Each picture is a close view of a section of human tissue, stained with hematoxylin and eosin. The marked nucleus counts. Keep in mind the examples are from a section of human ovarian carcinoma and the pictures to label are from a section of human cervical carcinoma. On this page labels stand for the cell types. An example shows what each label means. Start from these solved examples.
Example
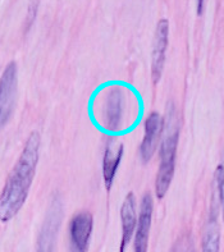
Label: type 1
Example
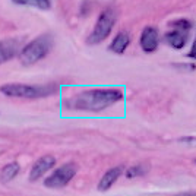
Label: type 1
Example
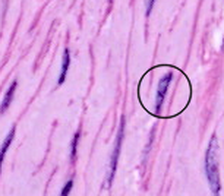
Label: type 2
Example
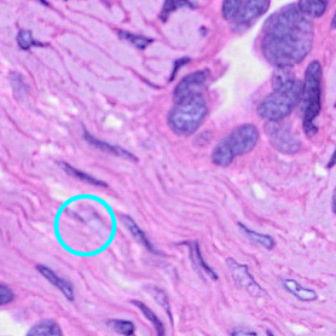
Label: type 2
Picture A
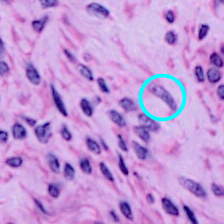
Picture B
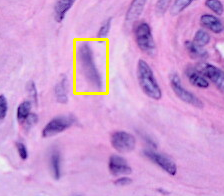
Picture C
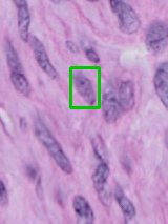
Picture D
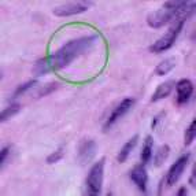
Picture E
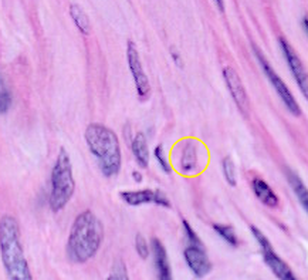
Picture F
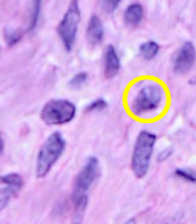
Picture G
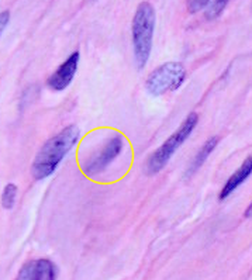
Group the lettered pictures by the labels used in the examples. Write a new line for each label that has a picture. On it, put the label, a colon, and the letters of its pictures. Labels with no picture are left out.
type 1: A, C, E
type 2: B, D, F, G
